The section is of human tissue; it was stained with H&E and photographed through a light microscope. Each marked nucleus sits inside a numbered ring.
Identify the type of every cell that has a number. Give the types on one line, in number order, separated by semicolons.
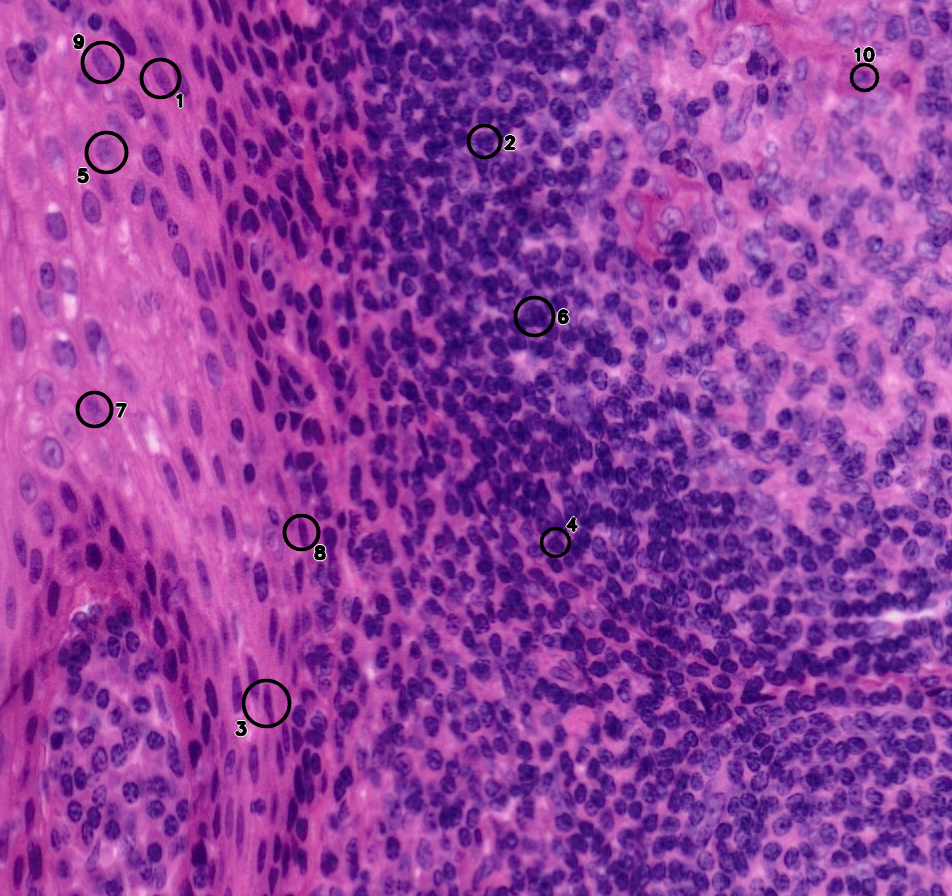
squamous epithelial cell; small lymphocyte; squamous epithelial cell; small lymphocyte; squamous epithelial cell; small lymphocyte; squamous epithelial cell; squamous epithelial cell; squamous epithelial cell; endothelial cell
